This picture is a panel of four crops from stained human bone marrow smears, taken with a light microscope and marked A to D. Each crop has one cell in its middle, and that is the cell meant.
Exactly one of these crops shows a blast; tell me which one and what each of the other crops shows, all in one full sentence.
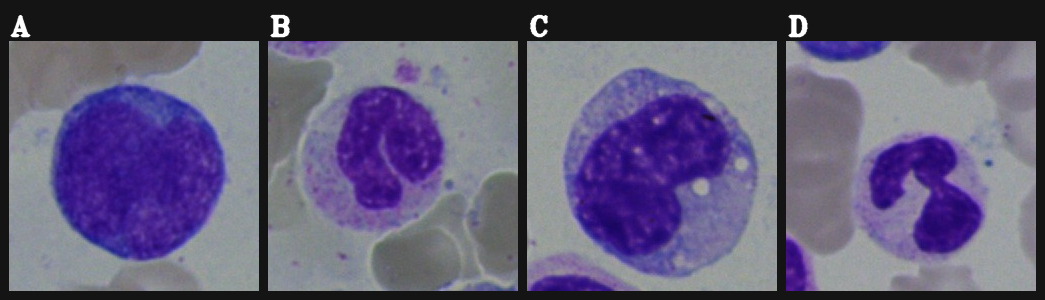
Crop A should be logged as a blast, while crop B is a band neutrophil, crop C is a monocyte and crop D is a segmented neutrophil.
